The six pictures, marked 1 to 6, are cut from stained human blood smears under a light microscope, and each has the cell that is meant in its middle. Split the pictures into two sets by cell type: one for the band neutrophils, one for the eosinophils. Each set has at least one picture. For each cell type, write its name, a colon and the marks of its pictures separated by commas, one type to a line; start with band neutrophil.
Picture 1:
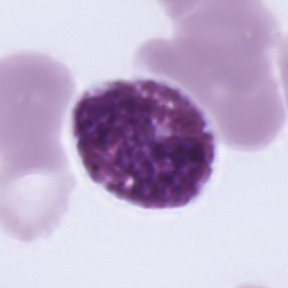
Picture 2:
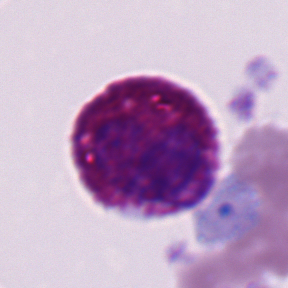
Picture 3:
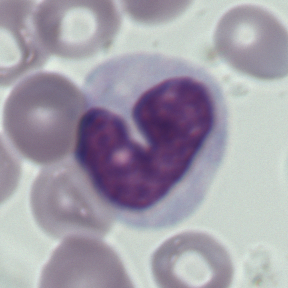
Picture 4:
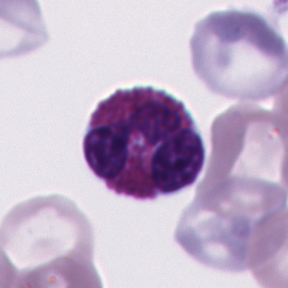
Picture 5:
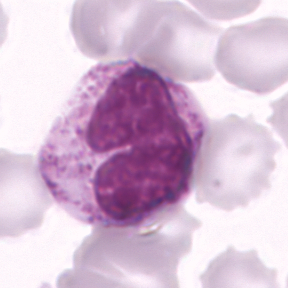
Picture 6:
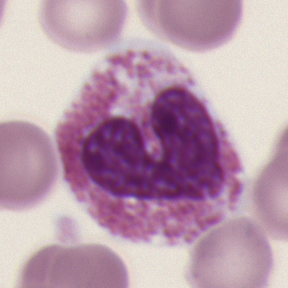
band neutrophil: 3, 5
eosinophil: 1, 2, 4, 6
